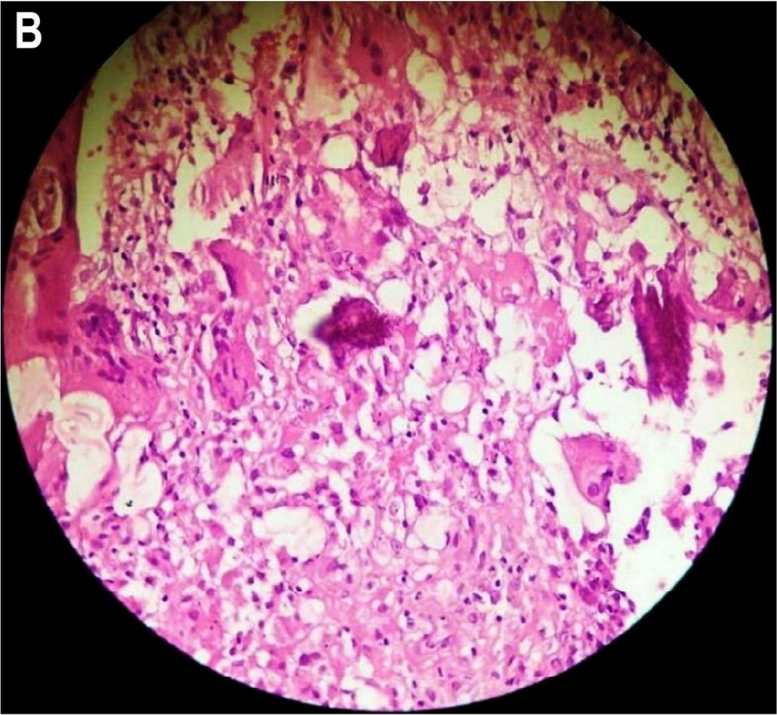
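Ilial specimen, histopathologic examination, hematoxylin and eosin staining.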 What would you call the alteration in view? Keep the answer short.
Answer: Foreign-body giant-cell reaction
